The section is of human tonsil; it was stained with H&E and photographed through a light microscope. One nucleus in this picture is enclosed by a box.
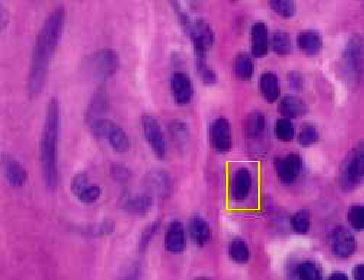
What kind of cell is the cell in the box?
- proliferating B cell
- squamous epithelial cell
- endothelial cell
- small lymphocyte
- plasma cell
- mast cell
mast cell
